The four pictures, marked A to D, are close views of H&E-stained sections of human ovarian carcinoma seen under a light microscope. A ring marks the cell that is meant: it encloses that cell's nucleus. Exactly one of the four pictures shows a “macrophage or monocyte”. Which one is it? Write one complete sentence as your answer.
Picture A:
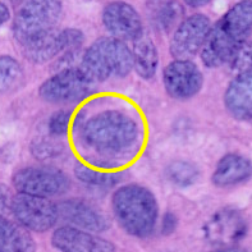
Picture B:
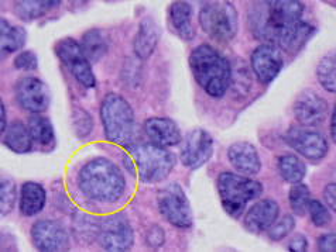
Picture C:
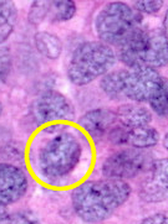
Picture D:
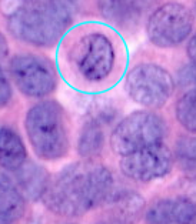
It is picture D that shows the “macrophage or monocyte”.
